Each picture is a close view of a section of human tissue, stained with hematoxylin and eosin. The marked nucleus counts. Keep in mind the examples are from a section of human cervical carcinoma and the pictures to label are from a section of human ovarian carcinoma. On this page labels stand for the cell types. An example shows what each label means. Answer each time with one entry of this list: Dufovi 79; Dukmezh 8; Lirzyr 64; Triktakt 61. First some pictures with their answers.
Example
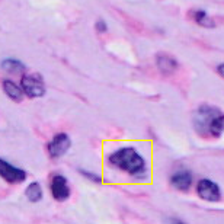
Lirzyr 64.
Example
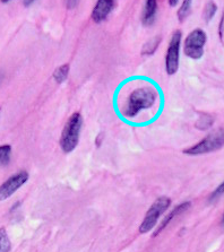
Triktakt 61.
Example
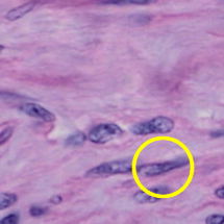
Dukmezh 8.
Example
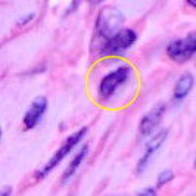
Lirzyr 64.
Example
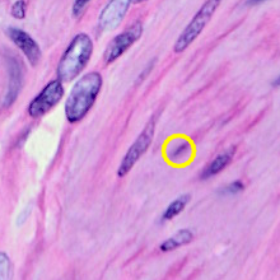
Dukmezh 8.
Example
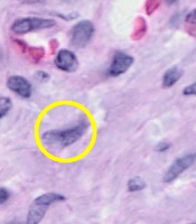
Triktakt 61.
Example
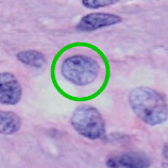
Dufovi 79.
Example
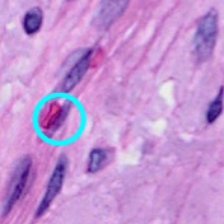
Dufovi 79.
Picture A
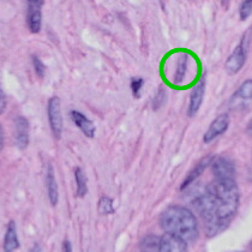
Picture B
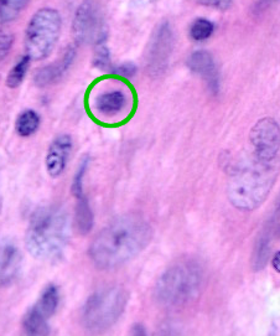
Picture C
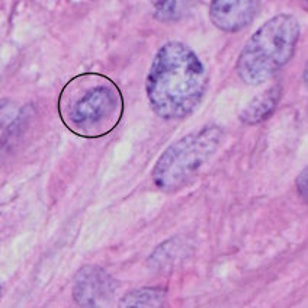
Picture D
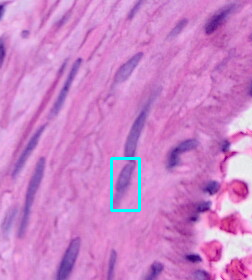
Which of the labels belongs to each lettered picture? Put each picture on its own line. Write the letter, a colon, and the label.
A: Triktakt 61.
B: Lirzyr 64.
C: Triktakt 61.
D: Dukmezh 8.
